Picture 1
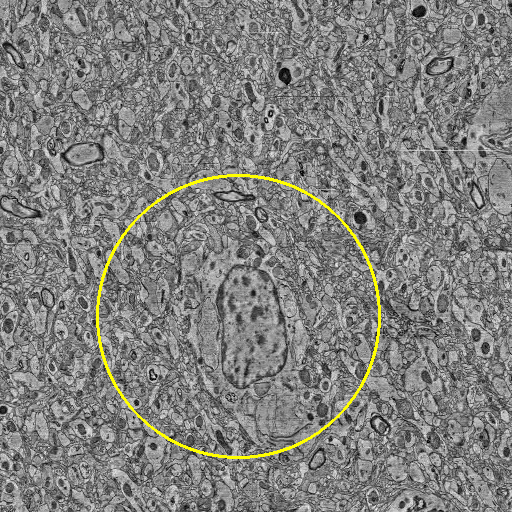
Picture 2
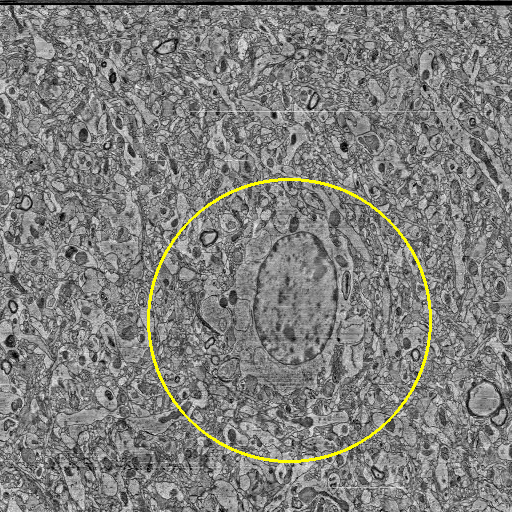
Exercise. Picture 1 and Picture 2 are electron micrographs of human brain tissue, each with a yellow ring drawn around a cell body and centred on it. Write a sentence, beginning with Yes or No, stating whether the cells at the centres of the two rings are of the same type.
Yes, the cells at the centres of both rings are of the same type.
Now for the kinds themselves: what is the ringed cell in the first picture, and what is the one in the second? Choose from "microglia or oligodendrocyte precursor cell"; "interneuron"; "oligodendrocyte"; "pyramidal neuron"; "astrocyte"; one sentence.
In each of the two pictures, the ringed cell is an astrocyte.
